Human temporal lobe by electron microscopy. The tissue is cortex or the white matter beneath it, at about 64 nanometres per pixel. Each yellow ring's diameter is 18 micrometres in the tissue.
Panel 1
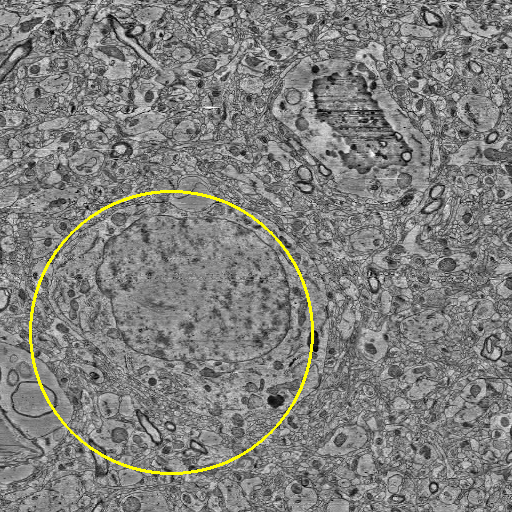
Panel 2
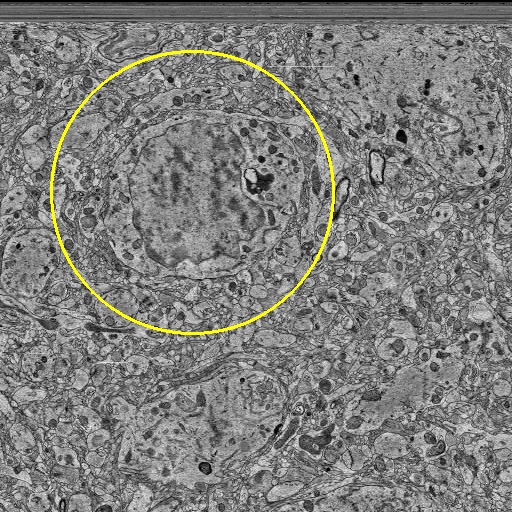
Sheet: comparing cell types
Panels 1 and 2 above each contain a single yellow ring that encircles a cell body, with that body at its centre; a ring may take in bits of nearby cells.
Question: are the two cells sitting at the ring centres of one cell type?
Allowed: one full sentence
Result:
Yes, the ring-centre cells in Panel 1 and Panel 2 are of one type.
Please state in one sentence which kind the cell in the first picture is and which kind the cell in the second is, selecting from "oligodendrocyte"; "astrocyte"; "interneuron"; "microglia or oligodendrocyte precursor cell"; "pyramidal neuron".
In both pictures the ring is centred on an interneuron.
